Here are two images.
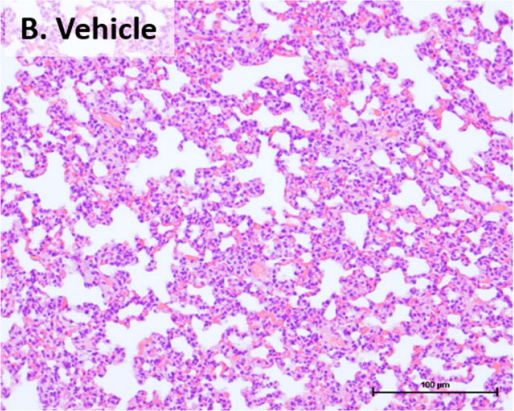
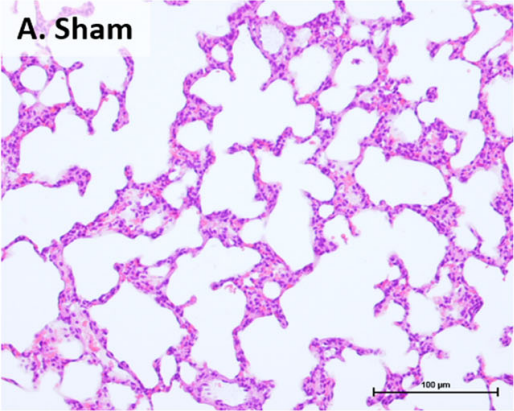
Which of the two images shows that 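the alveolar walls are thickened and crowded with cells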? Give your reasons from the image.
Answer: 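Second image: the alveolar walls are thin strands surrounding large open air spaces. First image: the walls are thick and nucleus-dense, and the air spaces are small and narrow.
Answer: the first image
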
